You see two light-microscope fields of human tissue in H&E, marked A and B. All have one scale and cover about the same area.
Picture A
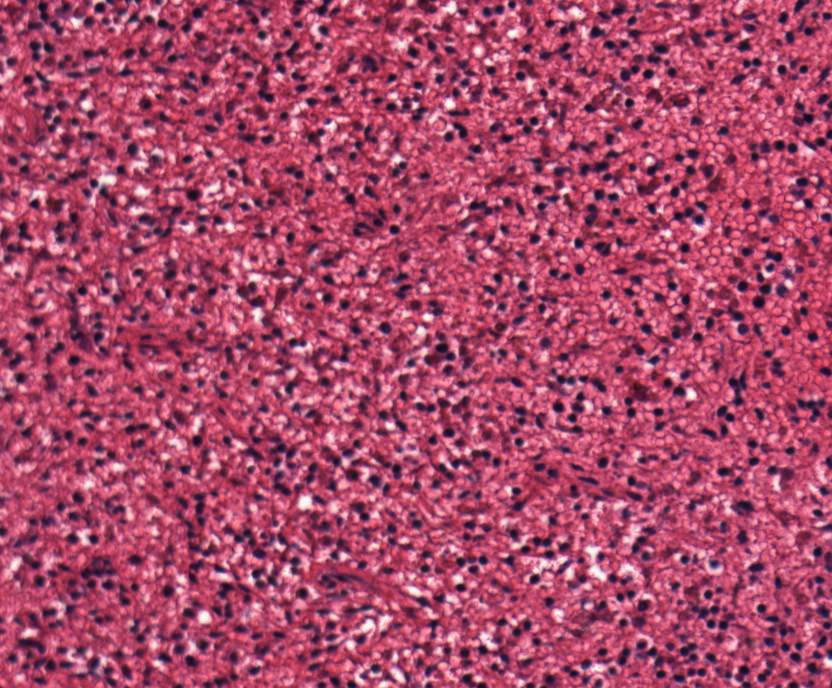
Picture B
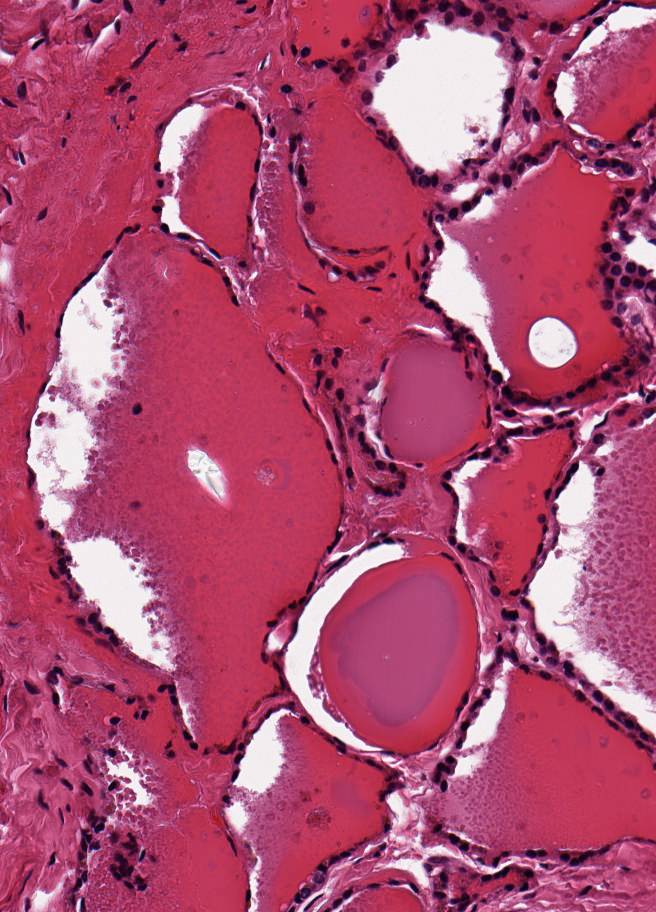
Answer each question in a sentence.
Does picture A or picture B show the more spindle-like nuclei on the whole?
On the whole the nuclei of picture B are more drawn out than those of picture A.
